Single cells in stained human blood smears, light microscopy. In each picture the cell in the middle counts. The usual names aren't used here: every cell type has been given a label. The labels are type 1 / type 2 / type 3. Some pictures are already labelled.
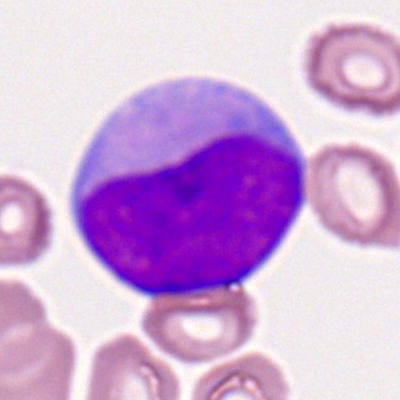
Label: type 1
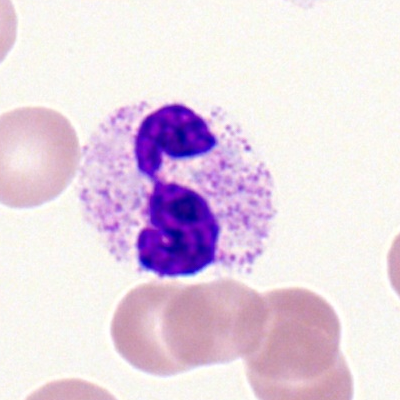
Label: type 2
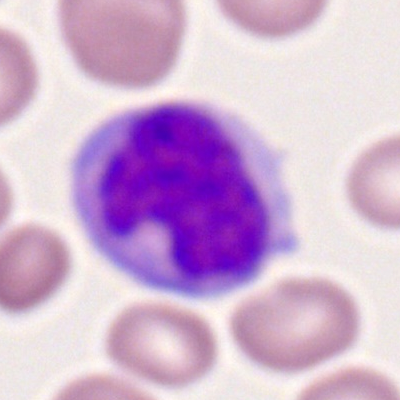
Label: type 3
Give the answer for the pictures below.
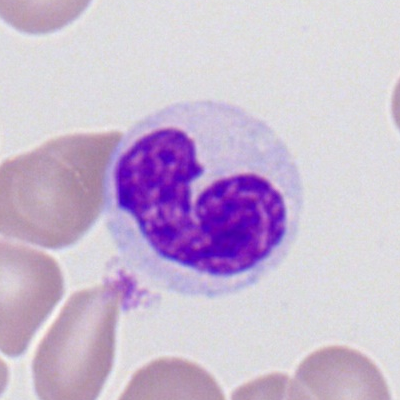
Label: type 2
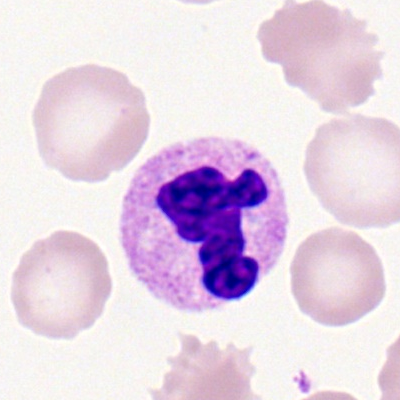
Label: type 2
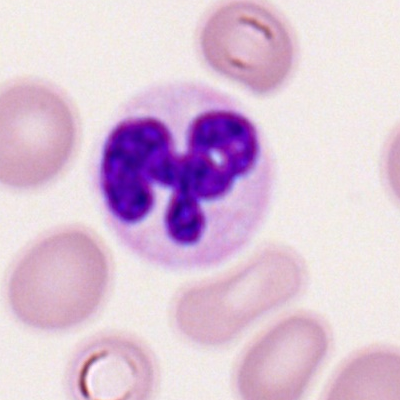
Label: type 2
